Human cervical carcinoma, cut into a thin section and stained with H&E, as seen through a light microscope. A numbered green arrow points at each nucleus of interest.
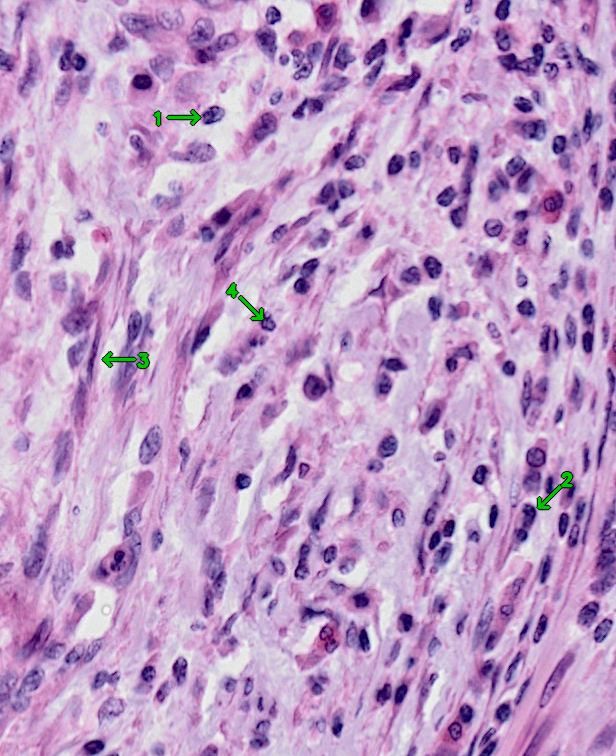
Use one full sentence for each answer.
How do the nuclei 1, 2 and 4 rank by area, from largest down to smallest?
By area, largest first, they run 1, 2, 4.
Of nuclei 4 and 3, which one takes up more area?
Nucleus 3 is larger, with an area about 2 times that of nucleus 4.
